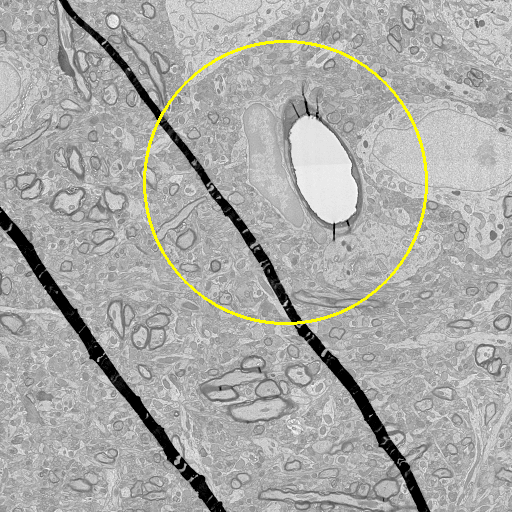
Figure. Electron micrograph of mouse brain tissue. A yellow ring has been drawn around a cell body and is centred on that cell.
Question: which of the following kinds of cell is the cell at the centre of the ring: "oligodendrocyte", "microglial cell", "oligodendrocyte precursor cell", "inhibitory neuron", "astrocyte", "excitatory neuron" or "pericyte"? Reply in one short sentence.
The cell at the centre of the ring is a microglial cell.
